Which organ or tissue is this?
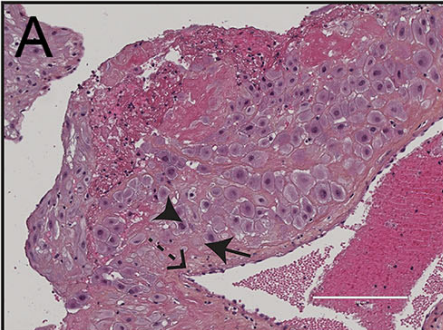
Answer: Decidua.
